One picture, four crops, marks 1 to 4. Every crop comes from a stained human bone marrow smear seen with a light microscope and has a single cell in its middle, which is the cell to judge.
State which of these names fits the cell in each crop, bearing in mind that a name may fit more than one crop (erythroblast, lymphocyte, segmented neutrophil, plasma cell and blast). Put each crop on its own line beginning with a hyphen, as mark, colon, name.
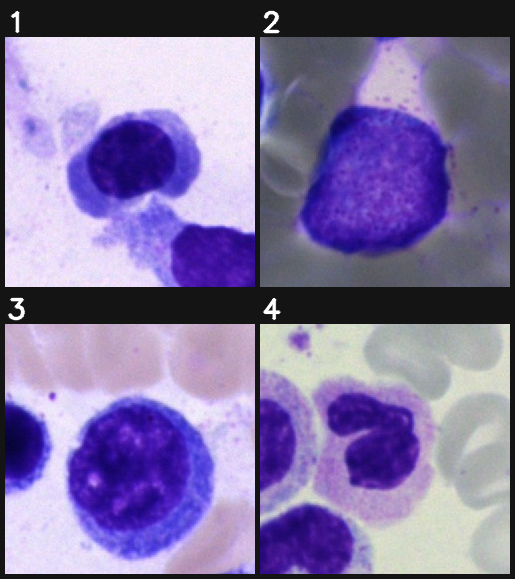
- 1: erythroblast
- 2: blast
- 3: blast
- 4: segmented neutrophil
